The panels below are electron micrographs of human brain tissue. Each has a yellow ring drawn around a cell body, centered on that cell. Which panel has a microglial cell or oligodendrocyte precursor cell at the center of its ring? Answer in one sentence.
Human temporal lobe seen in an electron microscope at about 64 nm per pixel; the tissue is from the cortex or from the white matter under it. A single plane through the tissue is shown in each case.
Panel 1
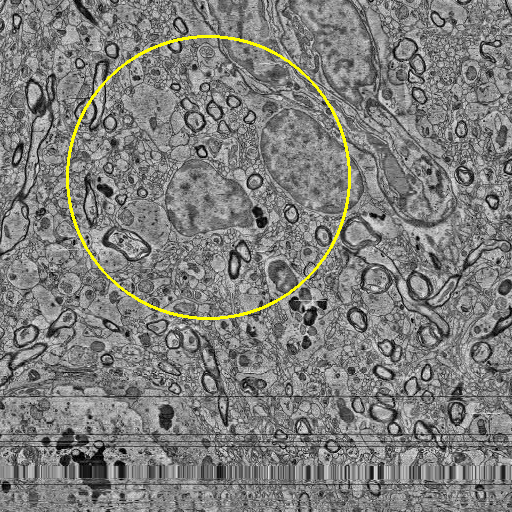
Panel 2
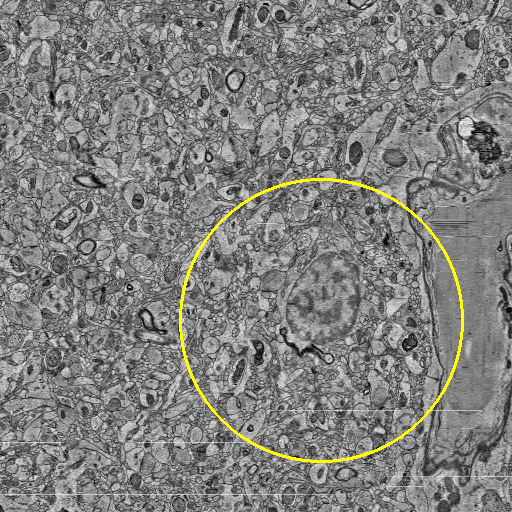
Panel 1 has it at the center of its ring.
